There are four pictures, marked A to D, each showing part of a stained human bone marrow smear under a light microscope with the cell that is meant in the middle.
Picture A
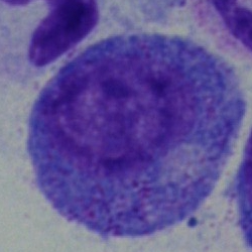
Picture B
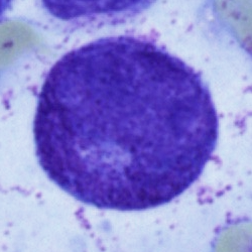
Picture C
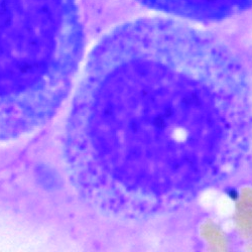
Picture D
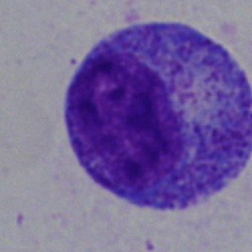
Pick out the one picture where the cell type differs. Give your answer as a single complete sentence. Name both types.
The different one is picture C; it shows a myelocyte, whereas all the others show promyelocytes.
